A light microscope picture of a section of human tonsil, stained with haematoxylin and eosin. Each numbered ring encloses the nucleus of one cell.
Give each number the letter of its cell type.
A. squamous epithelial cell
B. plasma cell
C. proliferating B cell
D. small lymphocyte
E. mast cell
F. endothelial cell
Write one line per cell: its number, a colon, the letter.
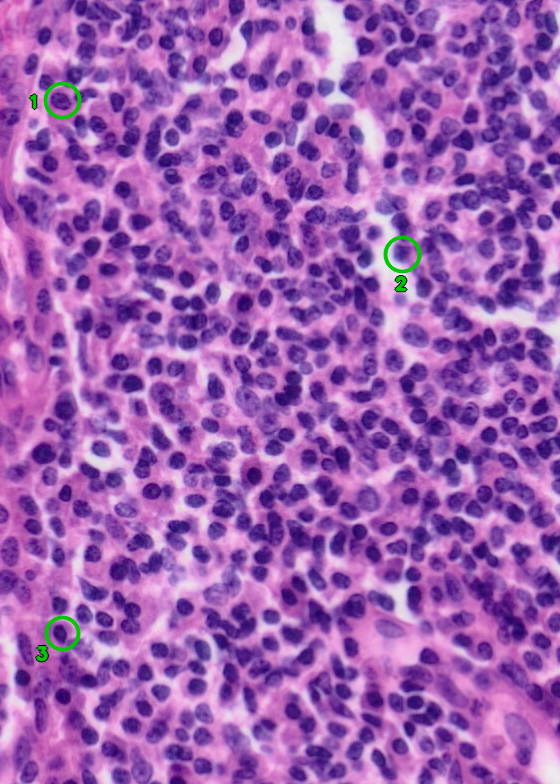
1: B
2: D
3: B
